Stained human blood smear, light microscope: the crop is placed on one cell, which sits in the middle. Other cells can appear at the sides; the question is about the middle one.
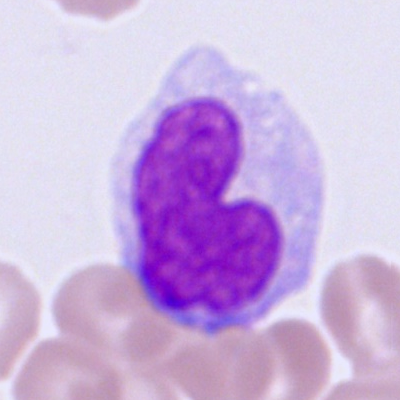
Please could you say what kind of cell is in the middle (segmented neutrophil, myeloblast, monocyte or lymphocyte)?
monocyte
